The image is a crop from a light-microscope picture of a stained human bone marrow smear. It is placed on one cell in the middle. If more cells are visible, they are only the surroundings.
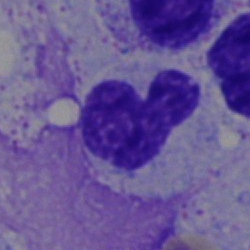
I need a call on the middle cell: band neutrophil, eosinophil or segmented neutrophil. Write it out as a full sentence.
The cell marked by its central position in the crop is a band neutrophil.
